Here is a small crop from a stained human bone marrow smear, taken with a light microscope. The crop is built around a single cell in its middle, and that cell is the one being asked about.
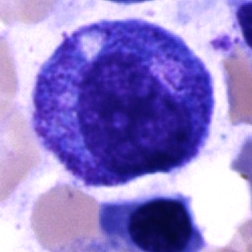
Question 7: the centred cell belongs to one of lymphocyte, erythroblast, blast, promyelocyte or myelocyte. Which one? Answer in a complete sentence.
By type, the central cell of the crop is a promyelocyte.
